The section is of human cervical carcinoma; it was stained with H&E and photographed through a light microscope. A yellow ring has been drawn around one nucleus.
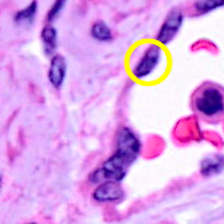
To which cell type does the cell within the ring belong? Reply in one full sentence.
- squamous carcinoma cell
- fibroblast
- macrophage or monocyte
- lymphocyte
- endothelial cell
As a matter of cell type, the cell within the ring is an endothelial cell.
